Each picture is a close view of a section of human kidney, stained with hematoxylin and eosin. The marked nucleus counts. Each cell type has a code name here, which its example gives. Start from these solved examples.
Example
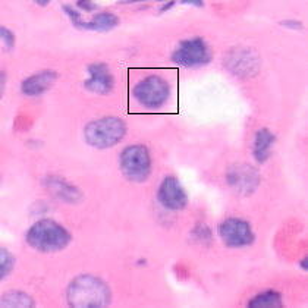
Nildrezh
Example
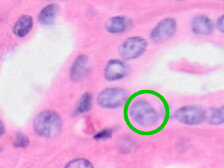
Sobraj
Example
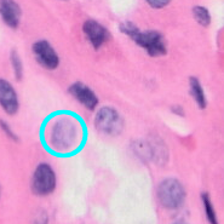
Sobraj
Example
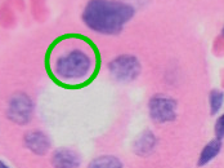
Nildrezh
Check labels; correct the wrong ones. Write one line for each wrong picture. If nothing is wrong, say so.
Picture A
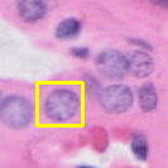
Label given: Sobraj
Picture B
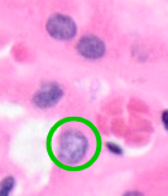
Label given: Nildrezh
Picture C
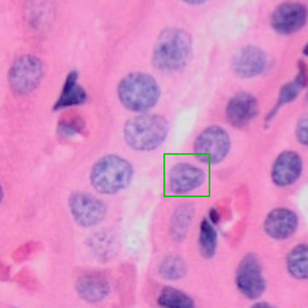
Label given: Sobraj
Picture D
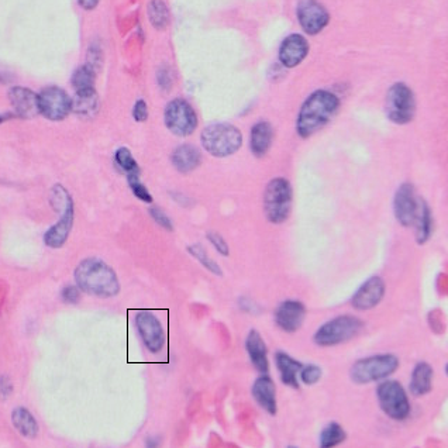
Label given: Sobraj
No label is wrong.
